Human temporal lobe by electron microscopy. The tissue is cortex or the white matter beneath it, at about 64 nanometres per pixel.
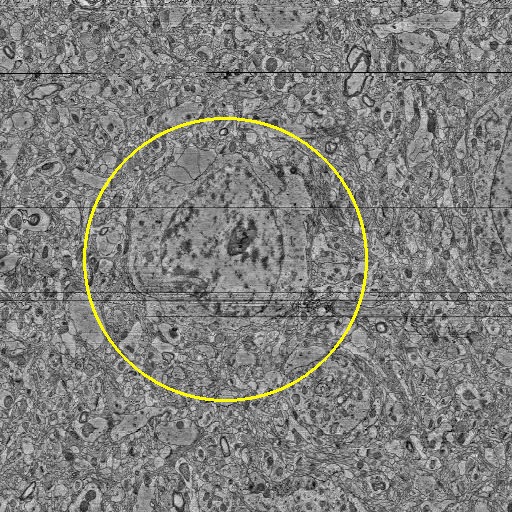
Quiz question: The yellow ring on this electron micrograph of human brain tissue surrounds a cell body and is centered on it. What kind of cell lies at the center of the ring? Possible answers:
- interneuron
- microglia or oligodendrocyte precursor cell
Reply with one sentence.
The ring's center lies on an interneuron.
